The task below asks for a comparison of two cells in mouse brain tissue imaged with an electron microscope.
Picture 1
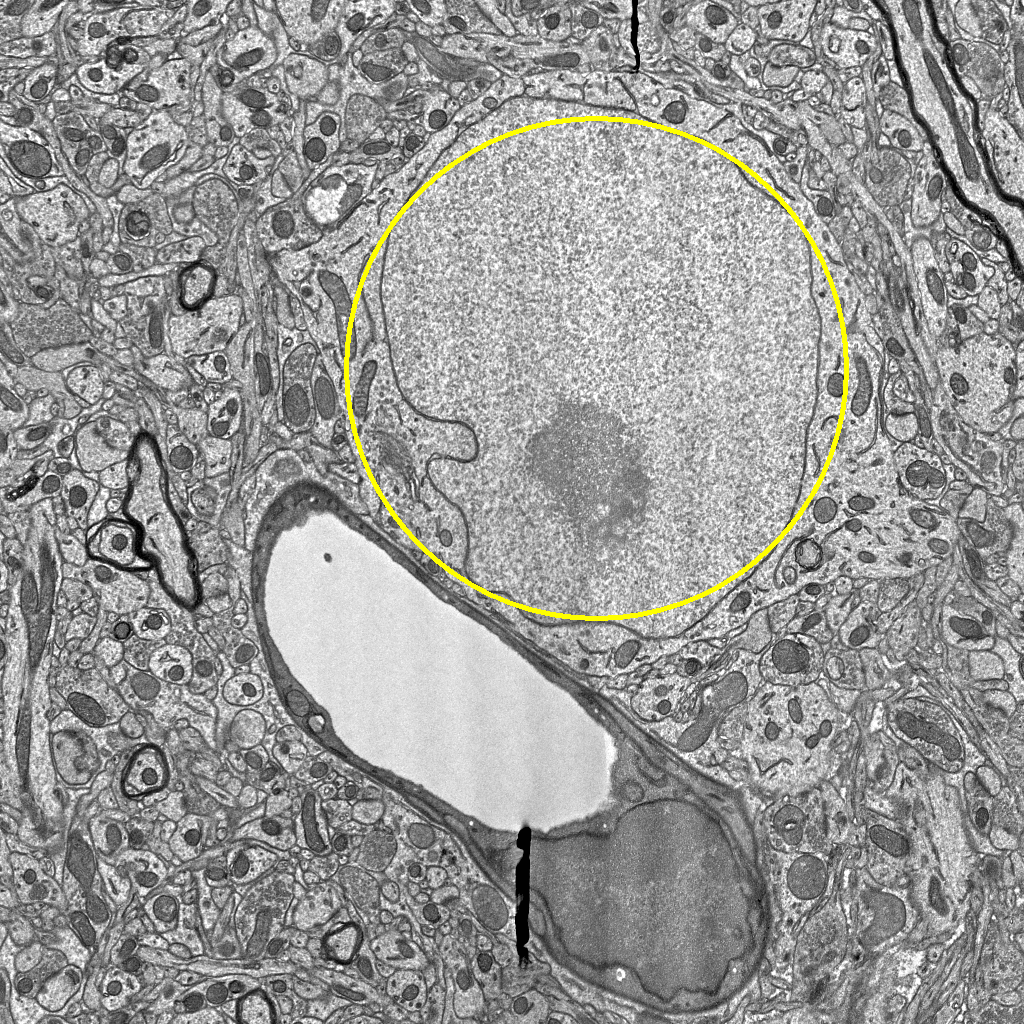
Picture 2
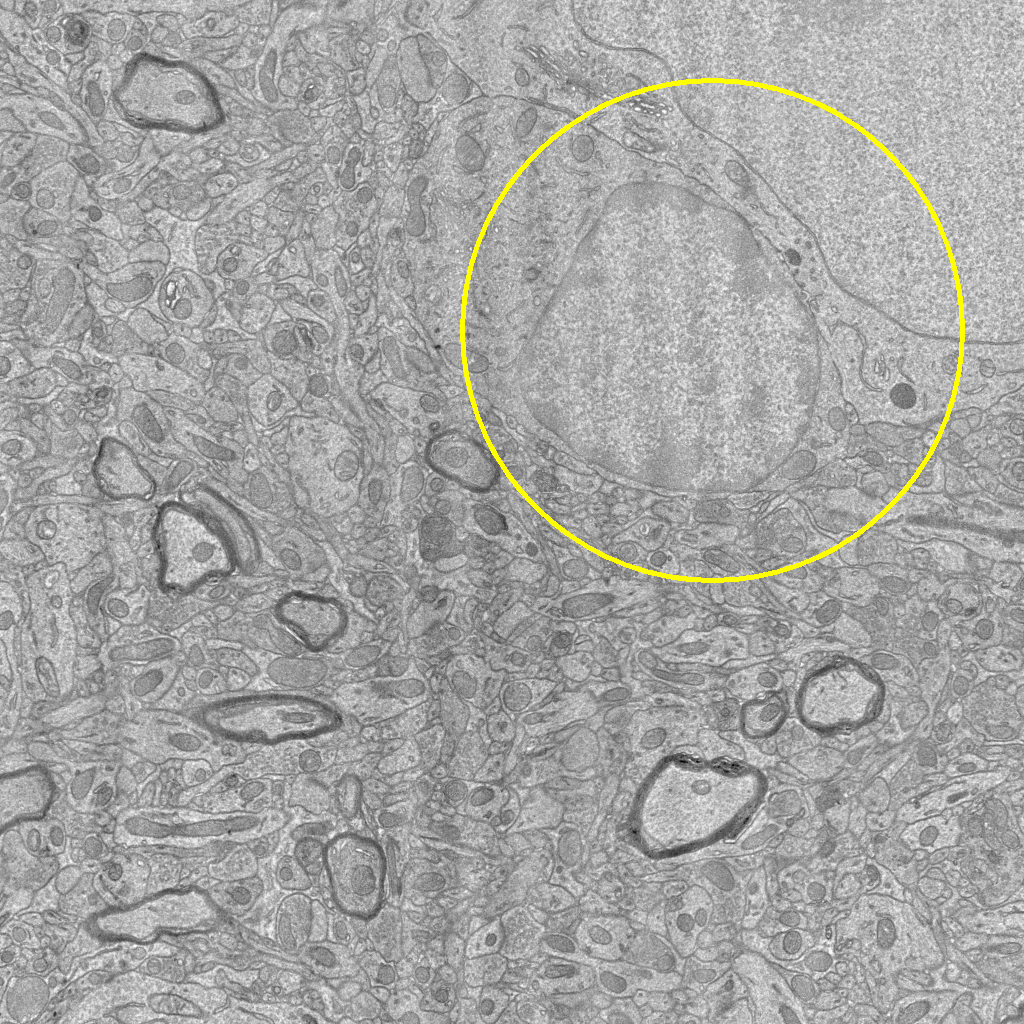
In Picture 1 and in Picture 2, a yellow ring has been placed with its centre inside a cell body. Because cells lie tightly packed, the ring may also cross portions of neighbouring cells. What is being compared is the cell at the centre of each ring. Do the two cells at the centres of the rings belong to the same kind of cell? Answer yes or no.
no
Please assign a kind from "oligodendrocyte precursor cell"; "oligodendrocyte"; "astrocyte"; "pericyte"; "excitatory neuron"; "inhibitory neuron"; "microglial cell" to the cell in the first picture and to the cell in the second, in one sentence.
In the first picture we have an excitatory neuron, and in the second, an oligodendrocyte.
